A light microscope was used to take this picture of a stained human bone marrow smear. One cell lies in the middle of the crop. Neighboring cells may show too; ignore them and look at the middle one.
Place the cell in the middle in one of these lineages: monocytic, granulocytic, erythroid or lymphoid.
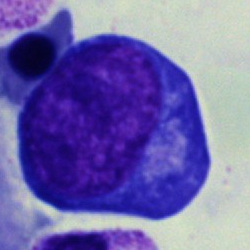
erythroid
